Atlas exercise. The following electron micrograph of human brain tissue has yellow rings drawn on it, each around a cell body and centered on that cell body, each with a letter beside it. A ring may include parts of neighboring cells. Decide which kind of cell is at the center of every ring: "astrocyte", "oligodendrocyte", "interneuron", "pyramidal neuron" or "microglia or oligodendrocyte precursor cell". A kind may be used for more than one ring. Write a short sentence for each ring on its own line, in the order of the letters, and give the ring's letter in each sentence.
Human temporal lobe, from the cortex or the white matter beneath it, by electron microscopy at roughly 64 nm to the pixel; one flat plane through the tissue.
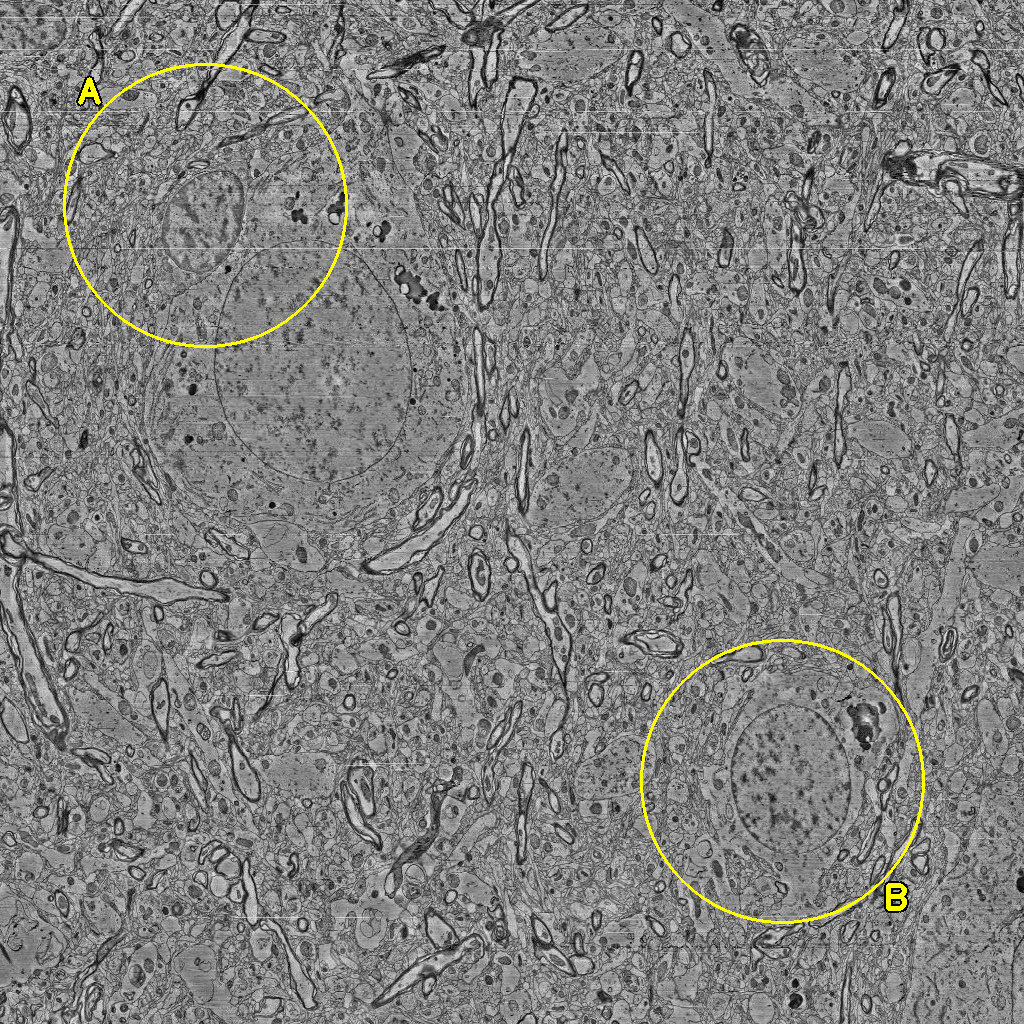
Ring A frames an oligodendrocyte at its center.
Ring B frames an astrocyte at its center.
